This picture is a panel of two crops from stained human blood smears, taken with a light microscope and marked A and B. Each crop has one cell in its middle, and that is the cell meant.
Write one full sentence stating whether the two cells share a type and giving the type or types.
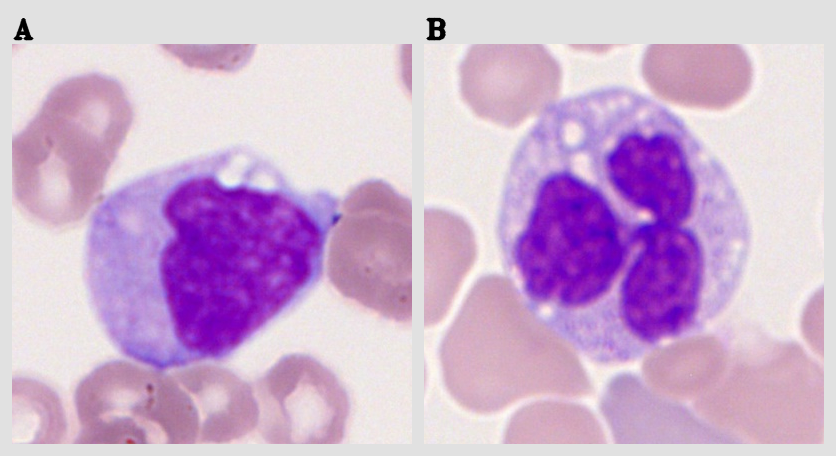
Yes, the central cells in both crops are monocytes.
